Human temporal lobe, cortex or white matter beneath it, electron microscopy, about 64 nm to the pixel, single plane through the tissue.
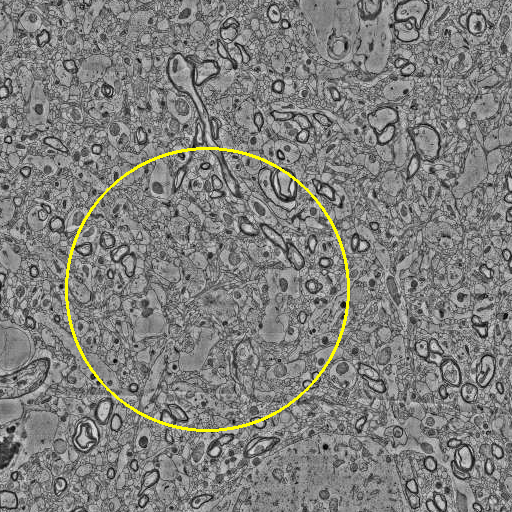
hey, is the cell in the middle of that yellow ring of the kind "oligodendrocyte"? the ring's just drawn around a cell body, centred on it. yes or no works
yes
